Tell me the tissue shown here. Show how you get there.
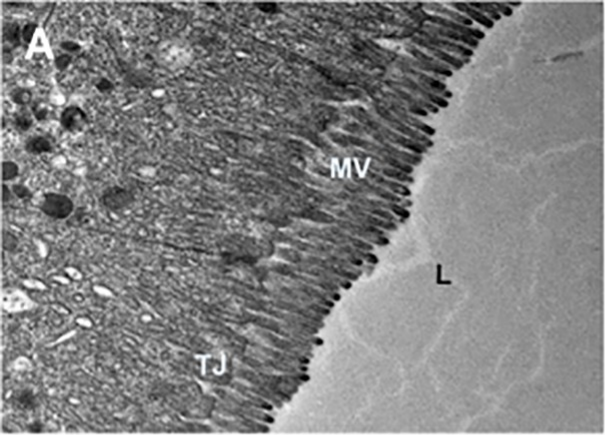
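A columnar epithelial surface carries a dense, regular fringe of finger-like projections. The projections face an open, pale space on the right. The cytoplasm beneath holds many dark round and oval organelles.
Intestine.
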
